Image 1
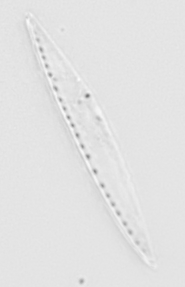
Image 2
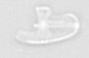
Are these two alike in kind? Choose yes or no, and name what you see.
No. First Nitzschia, second Sellaphora.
